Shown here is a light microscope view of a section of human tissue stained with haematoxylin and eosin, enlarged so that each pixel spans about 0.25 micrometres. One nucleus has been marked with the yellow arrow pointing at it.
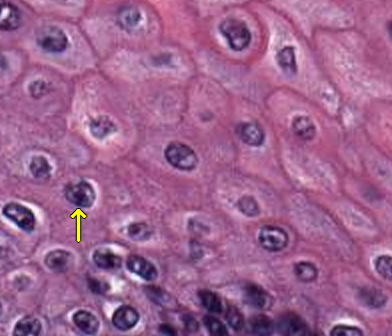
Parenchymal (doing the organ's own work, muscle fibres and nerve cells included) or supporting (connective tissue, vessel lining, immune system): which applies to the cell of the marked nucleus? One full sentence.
The marked nucleus belongs to a parenchymal cell, namely a squamous epithelial cell.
